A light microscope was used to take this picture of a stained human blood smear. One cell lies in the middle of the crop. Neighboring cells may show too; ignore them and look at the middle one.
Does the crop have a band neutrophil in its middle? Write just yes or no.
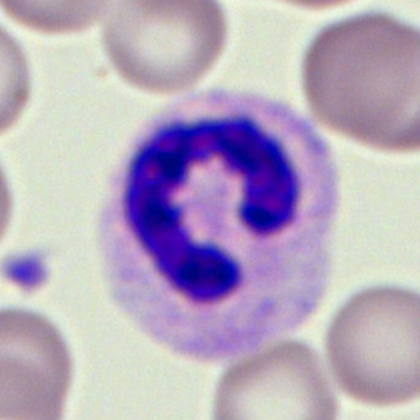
yes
